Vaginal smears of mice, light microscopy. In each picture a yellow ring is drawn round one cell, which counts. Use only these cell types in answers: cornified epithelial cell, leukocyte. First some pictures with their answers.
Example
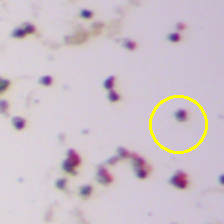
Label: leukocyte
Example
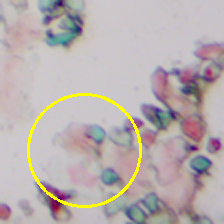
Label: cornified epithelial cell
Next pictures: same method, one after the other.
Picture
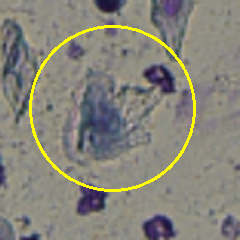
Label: cornified epithelial cell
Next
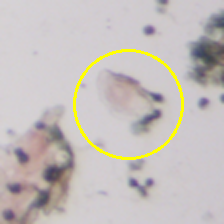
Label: cornified epithelial cell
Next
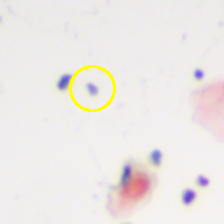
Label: leukocyte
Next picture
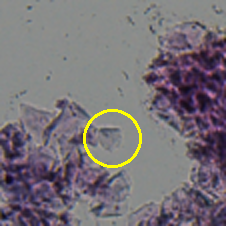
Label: cornified epithelial cell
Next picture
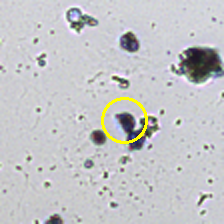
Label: leukocyte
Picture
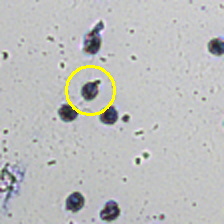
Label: leukocyte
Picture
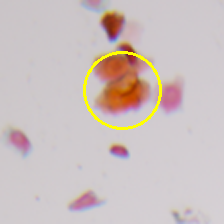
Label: cornified epithelial cell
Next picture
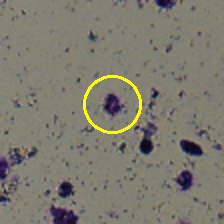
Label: leukocyte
